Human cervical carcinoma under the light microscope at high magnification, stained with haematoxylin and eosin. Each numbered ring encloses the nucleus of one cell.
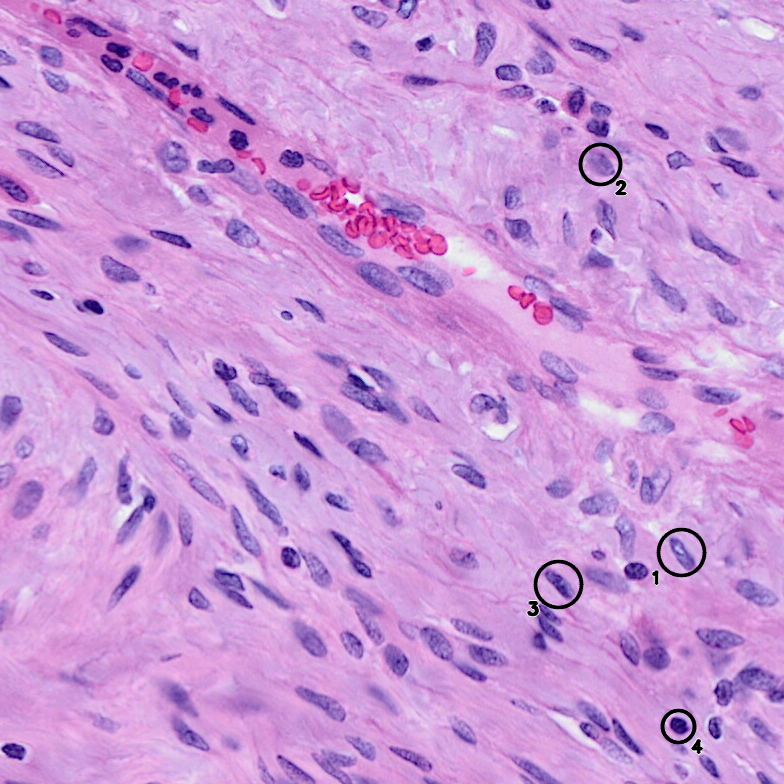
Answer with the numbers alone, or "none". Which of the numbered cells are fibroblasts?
1, 2, 3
